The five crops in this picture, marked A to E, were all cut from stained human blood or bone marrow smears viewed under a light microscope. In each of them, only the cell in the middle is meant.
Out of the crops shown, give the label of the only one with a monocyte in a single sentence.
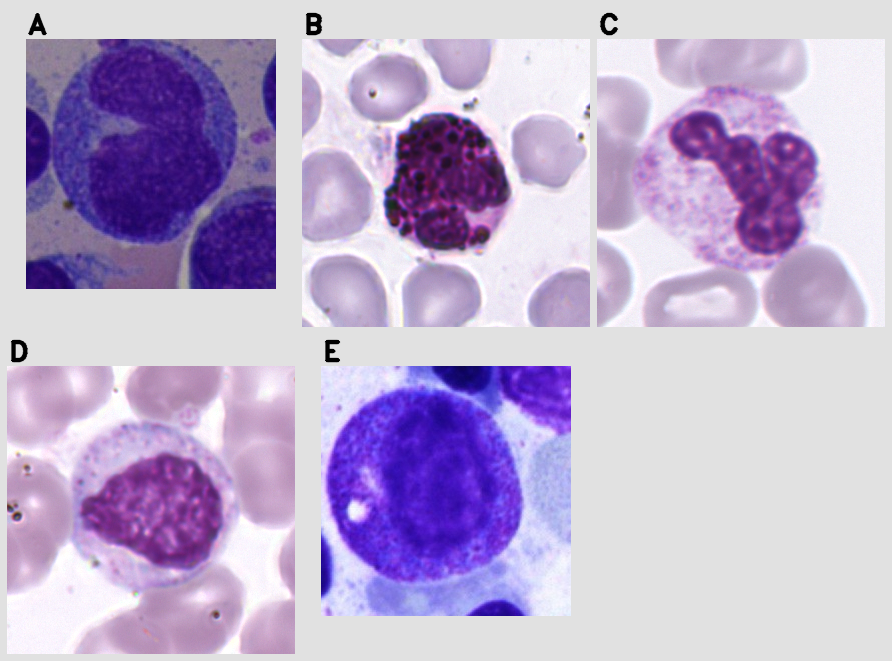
It is in crop A that a monocyte is shown.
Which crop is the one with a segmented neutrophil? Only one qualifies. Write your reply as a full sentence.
Of the cells presented, the one in crop C is a segmented neutrophil.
